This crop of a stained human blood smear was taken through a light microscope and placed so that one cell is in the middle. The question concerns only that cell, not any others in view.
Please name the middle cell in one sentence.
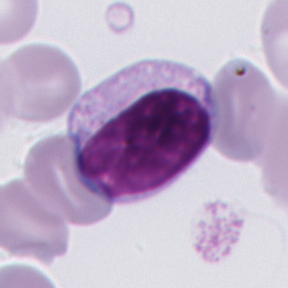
The centrally located cell in the crop is a large granular lymphocyte.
